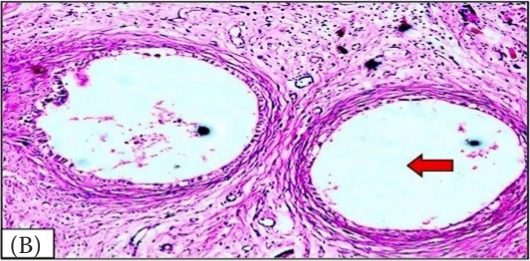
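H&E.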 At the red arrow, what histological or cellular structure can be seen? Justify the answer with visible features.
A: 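Follicular cyst. A large round cavity with a pale, nearly empty lumen. The cavity is lined by a thin cell layer with no oocyte inside. Concentric bands of pink fibrous stroma surround the cavity.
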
